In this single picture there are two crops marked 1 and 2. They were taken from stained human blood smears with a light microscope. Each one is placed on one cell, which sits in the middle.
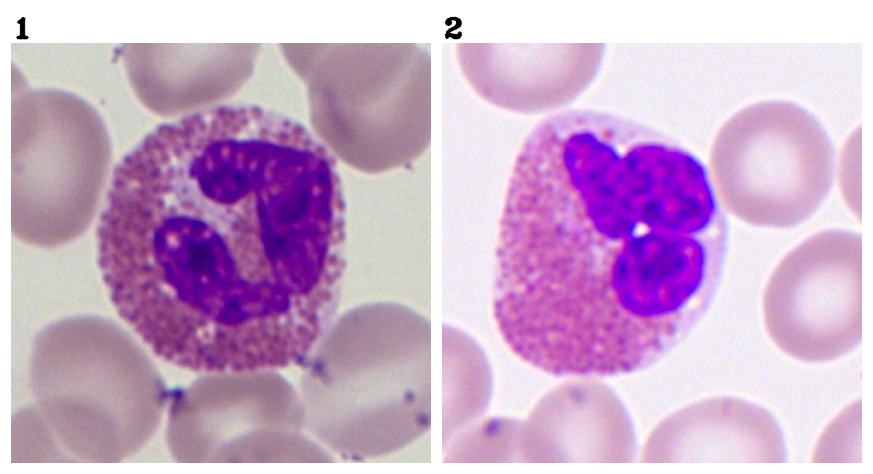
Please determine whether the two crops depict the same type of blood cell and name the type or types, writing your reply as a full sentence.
Yes, both crops show eosinophils, with no exception.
